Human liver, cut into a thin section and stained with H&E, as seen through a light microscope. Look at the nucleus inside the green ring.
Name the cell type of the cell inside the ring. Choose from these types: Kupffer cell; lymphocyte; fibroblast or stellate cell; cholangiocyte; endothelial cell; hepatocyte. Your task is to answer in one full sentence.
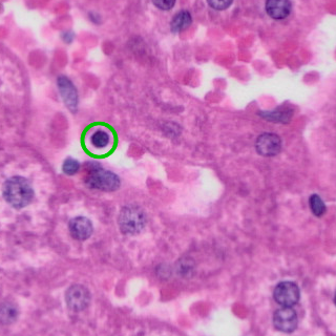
In terms of identity, the cell inside the ring is a lymphocyte.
